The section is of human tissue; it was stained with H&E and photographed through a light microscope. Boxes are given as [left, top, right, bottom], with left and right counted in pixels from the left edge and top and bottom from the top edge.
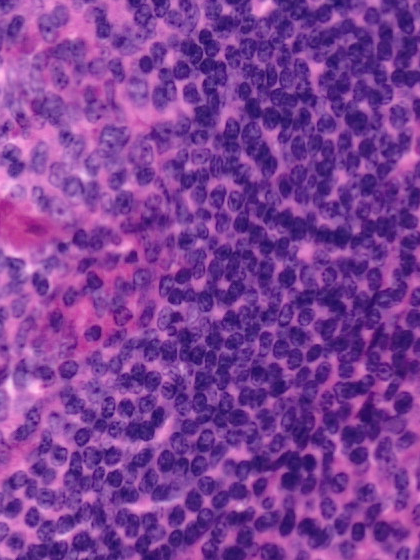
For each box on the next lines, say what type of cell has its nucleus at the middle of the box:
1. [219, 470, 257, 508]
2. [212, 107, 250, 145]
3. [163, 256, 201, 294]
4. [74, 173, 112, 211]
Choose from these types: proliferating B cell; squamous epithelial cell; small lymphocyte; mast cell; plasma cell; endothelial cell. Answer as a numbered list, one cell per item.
1. small lymphocyte
2. small lymphocyte
3. small lymphocyte
4. proliferating B cell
